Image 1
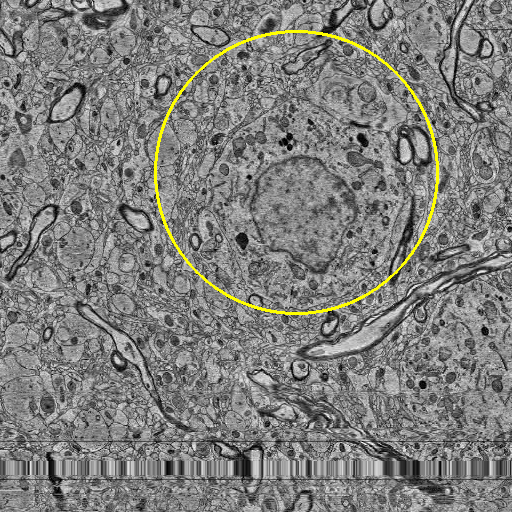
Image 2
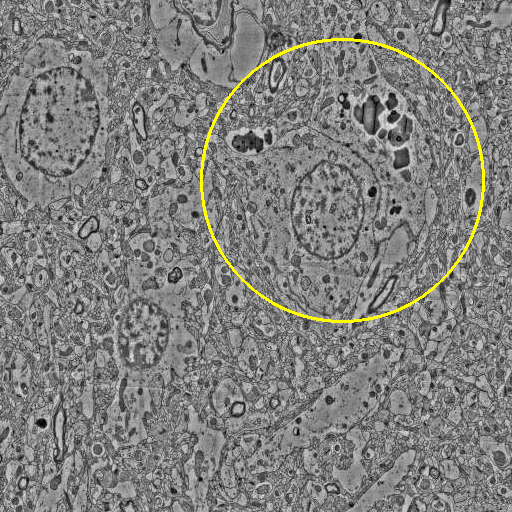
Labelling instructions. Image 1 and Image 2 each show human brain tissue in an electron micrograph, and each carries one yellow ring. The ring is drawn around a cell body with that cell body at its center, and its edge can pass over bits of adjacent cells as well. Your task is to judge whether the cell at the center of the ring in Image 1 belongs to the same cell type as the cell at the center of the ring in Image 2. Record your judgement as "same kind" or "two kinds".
same kind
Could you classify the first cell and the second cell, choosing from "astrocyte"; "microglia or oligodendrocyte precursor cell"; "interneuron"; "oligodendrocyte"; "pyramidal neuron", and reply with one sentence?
In both pictures the ring is centred on a pyramidal neuron.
